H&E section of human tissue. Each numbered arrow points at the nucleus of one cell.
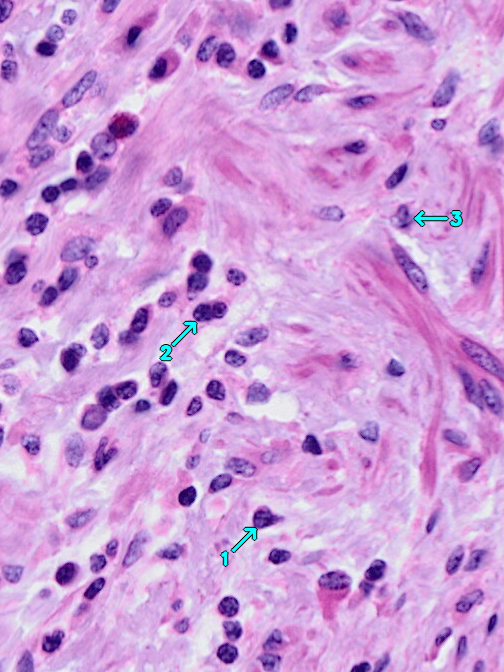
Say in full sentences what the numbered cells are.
Cell 1 is a lymphocyte, cell 2 is a lymphocyte and cell 3 is a macrophage or monocyte.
